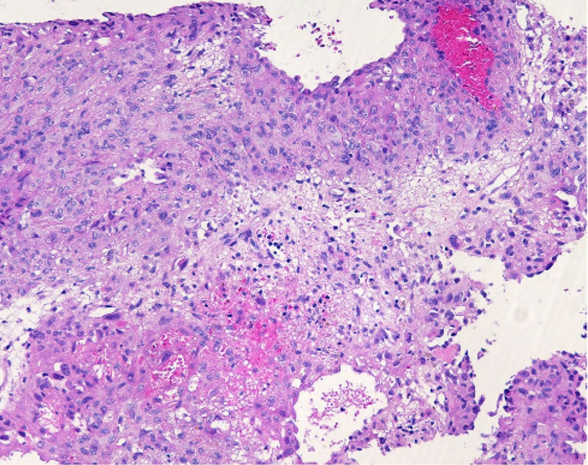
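The cells are polygonal with abundant pink, eosinophilic cytoplasm and round to oval nuclei that vary in size. Between the clusters lie pale, loose areas and small collections of red blood cells, and clefts open up parts of the tissue.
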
